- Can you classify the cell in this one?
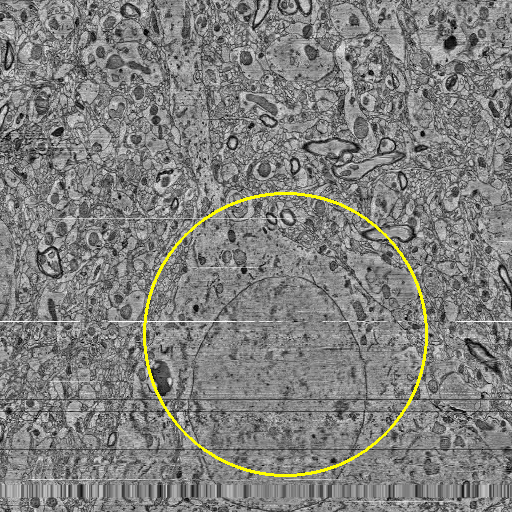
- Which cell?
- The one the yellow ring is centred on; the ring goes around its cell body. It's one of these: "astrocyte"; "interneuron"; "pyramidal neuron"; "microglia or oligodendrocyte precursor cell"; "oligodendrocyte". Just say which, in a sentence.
The cell body in the ring belongs to a pyramidal neuron.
